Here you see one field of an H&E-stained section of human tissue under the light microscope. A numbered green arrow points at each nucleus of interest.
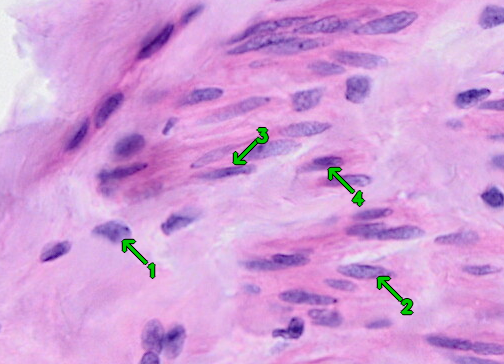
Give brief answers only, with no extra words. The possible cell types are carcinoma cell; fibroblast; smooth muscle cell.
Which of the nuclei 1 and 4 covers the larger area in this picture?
1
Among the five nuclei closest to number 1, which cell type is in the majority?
smooth muscle cell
